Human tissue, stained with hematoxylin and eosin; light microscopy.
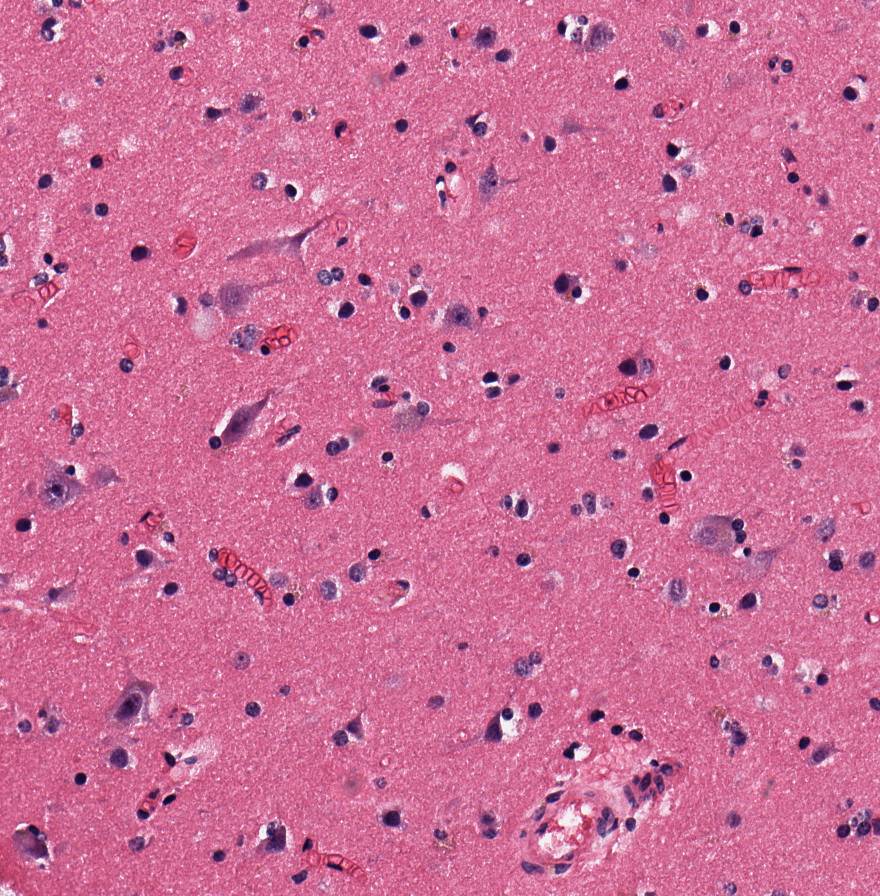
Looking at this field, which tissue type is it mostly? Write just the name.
cerebral cortex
